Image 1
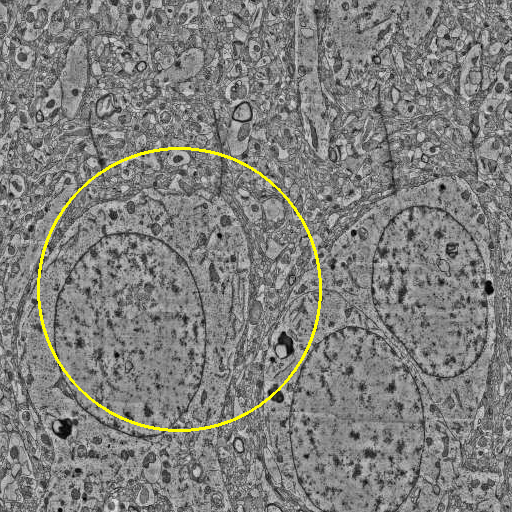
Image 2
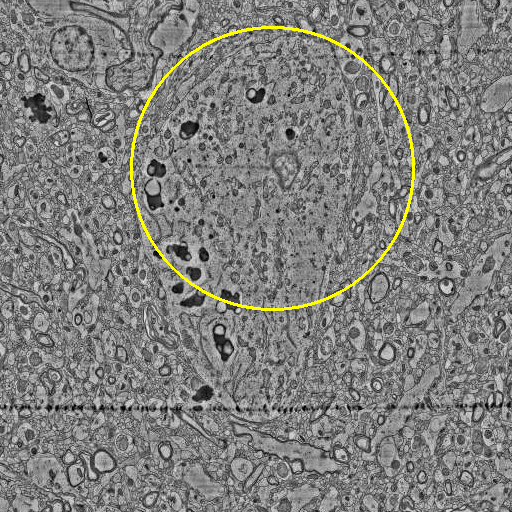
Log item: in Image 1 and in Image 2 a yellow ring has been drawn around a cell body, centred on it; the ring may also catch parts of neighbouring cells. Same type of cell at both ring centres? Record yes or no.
yes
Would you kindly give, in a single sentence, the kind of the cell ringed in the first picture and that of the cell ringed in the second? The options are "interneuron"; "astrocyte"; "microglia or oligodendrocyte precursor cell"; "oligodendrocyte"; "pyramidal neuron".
In each of the two pictures, the ringed cell is a pyramidal neuron.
